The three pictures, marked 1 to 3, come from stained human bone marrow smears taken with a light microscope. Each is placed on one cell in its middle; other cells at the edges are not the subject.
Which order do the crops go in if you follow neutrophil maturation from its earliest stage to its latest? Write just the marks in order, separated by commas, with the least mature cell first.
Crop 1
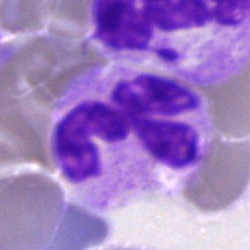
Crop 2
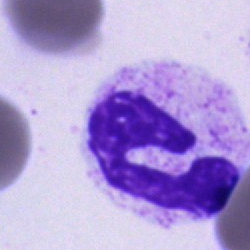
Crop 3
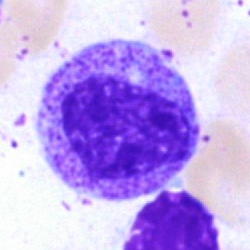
3, 2, 1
